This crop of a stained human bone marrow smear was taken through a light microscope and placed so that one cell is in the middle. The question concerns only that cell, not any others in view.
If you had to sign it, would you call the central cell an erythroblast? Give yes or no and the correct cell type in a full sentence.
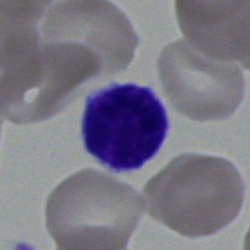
No, the cell placed in the centre is a lymphocyte and is not an erythroblast.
